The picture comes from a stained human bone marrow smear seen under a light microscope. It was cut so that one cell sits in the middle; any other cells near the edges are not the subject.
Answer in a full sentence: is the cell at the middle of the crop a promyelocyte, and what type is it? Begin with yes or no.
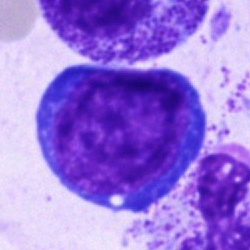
No, the cell in the middle of the field is a proerythroblast, not a promyelocyte as suggested.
